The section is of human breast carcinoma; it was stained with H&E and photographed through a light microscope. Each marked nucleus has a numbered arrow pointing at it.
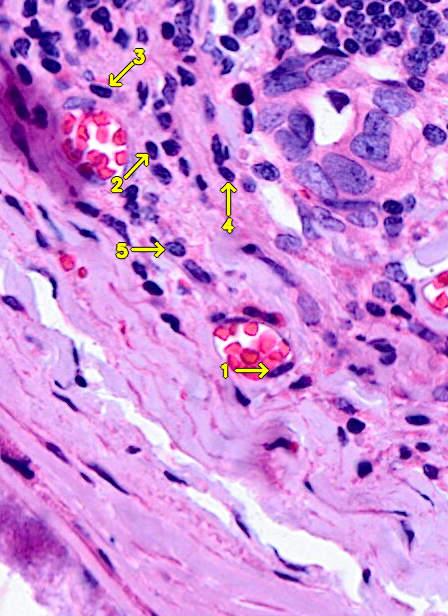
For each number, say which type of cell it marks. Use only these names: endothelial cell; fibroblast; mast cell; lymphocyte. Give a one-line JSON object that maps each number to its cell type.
{"1": "endothelial cell", "2": "lymphocyte", "3": "lymphocyte", "4": "lymphocyte", "5": "mast cell"}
